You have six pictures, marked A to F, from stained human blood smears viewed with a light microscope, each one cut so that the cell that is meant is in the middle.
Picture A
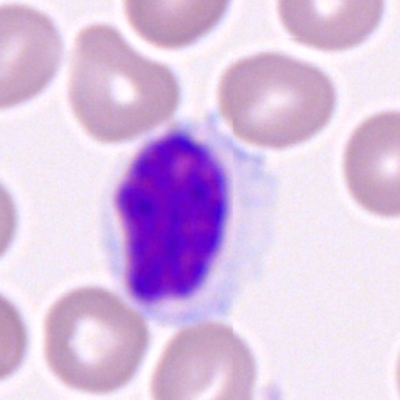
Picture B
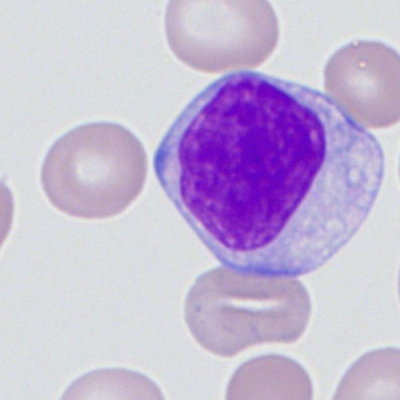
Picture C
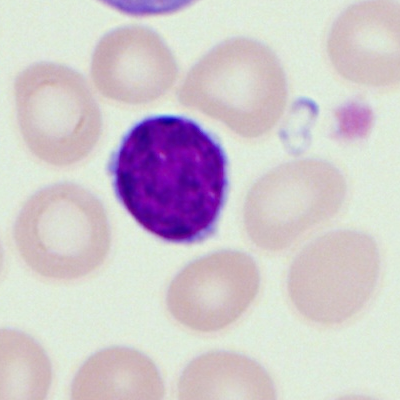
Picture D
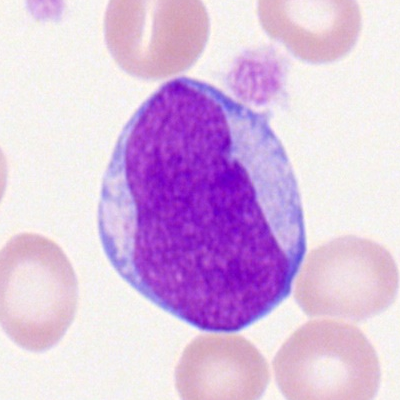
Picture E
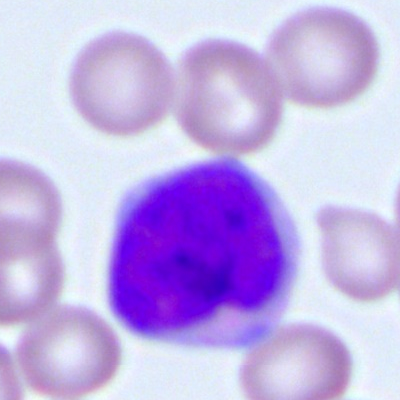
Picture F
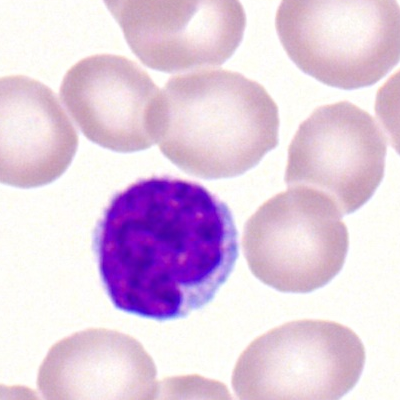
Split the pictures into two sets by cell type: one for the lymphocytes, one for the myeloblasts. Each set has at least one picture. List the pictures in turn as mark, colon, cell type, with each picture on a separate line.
A: lymphocyte
B: lymphocyte
C: lymphocyte
D: myeloblast
E: myeloblast
F: lymphocyte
